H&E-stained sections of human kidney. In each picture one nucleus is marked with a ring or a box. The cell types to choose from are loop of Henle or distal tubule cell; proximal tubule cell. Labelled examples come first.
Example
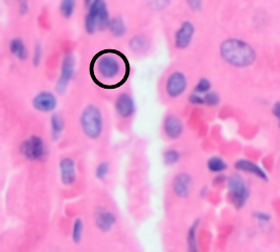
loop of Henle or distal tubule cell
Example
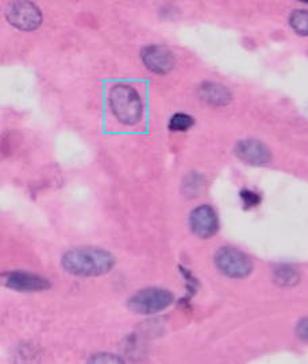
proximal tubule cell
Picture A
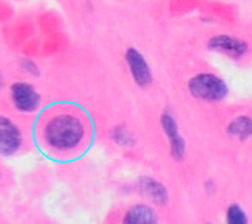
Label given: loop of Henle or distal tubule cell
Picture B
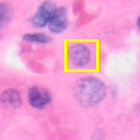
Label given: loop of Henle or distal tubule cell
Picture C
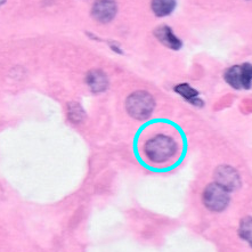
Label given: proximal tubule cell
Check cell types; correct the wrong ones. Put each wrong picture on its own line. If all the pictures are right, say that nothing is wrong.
No label is wrong.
